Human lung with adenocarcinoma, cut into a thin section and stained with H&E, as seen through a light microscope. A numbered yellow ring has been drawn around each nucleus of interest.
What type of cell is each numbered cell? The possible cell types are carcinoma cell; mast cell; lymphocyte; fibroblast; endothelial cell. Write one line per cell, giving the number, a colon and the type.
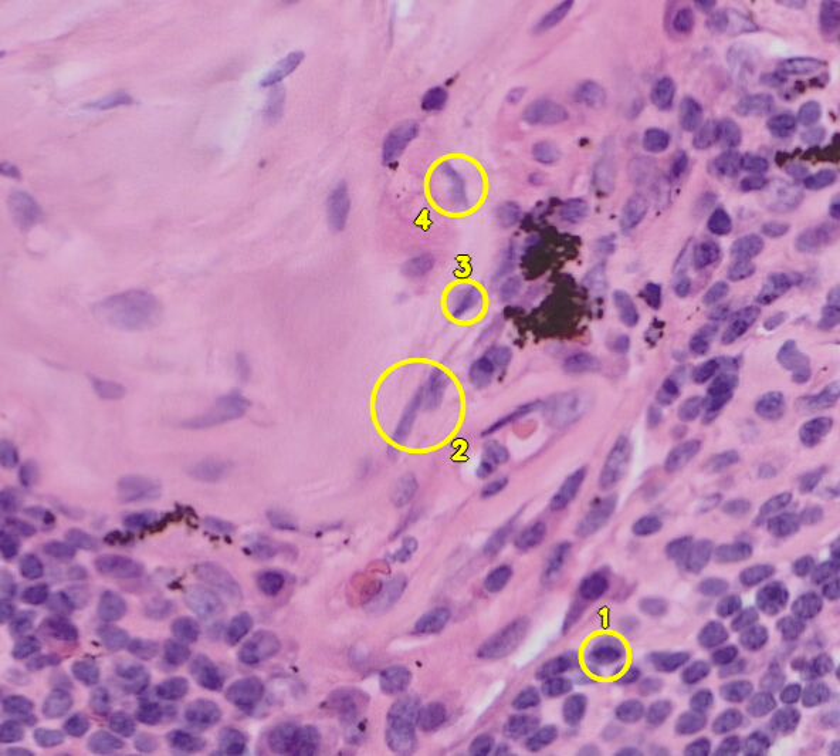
1: lymphocyte
2: fibroblast
3: fibroblast
4: fibroblast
